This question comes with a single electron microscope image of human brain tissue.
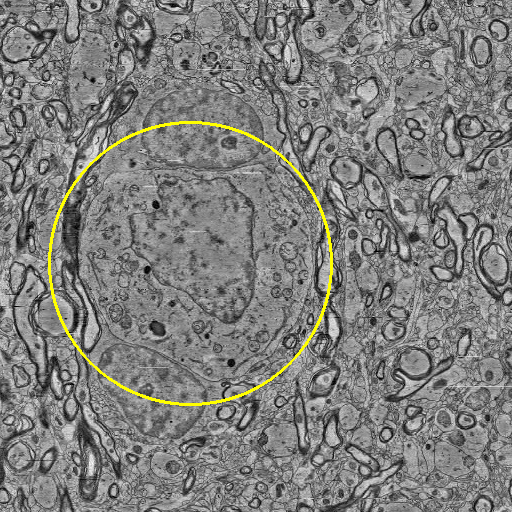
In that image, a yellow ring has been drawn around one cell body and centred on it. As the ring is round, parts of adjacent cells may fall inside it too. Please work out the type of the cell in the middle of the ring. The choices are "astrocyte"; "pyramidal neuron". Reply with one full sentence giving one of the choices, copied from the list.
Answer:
Of the choices, a pyramidal neuron is the cell sitting in the middle of the ring.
